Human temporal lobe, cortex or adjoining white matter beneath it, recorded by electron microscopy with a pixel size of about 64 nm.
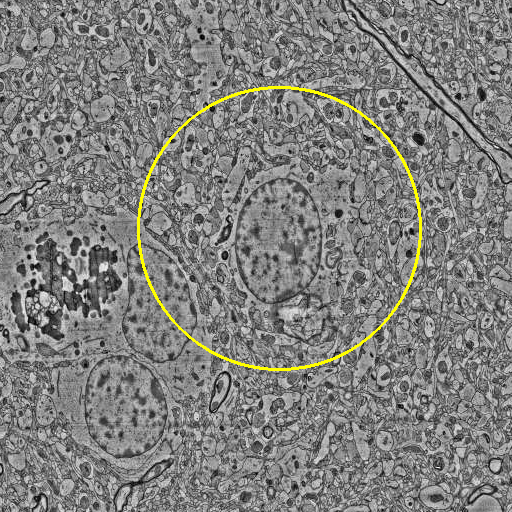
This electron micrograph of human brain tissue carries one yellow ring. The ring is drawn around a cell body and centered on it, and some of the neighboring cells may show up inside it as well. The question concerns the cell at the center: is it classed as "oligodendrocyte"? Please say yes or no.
No, it is classed as another kind.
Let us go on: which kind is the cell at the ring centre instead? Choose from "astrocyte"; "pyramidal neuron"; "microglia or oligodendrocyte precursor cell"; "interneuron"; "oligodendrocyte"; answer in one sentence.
Instead, the ringed cell here is an astrocyte.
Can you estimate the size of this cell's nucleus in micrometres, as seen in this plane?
Approximately 8 x 5 micrometres in this plane.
